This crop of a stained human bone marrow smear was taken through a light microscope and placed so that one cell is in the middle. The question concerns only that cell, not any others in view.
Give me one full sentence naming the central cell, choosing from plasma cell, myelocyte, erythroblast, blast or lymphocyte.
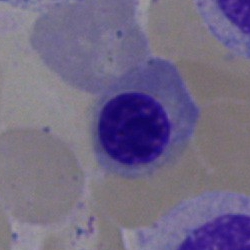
This crop has an erythroblast at its centre.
